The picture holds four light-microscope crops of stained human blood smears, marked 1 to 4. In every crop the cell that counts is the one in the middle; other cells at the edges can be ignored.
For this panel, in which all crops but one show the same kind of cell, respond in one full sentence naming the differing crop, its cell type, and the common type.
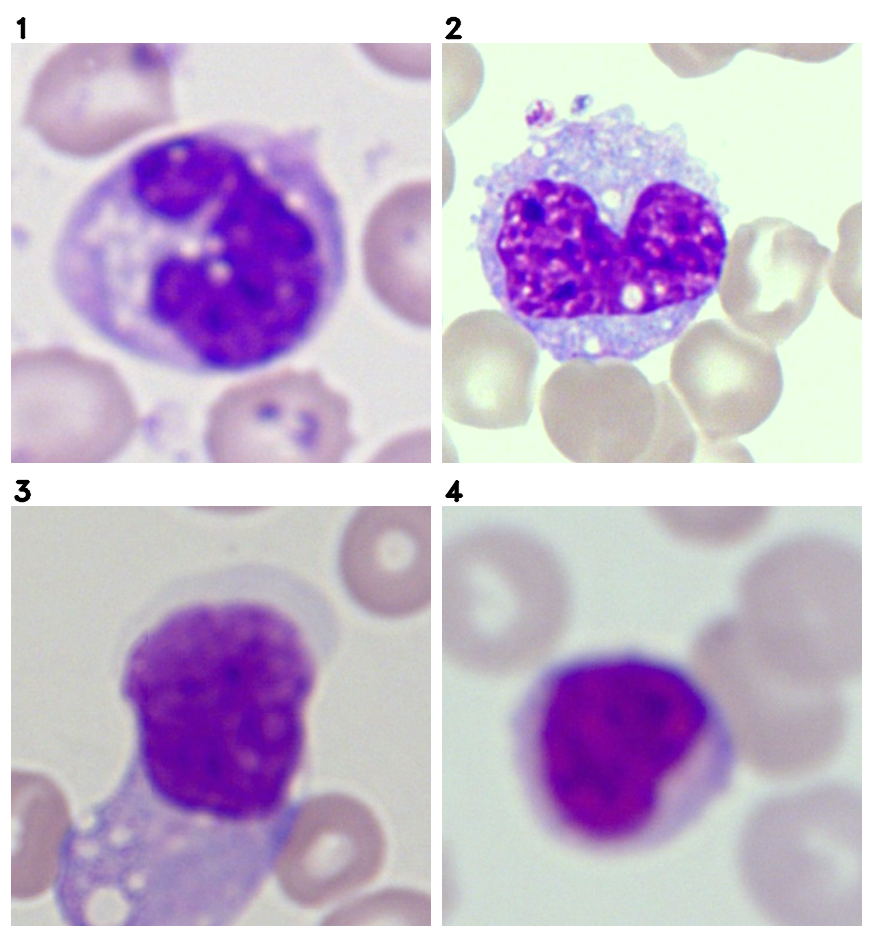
Crop 4 stands apart as a lymphocyte, whereas the remaining crops all show monocytes.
